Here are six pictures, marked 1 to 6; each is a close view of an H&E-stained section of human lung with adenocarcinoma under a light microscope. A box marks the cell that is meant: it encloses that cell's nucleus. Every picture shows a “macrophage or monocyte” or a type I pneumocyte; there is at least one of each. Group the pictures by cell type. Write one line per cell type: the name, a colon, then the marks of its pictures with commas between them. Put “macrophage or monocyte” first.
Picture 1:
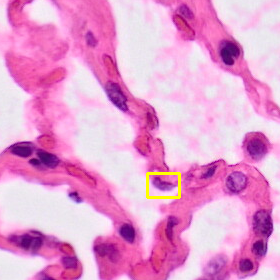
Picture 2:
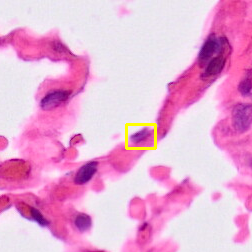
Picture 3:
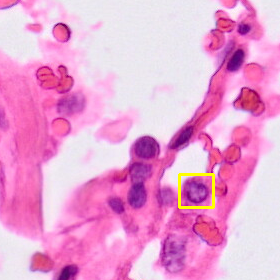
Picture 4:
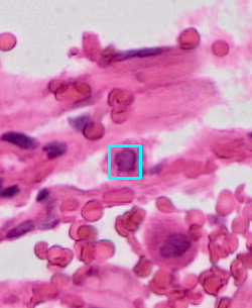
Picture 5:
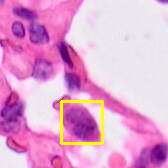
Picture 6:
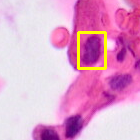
macrophage or monocyte: 3, 4, 5, 6
type I pneumocyte: 1, 2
